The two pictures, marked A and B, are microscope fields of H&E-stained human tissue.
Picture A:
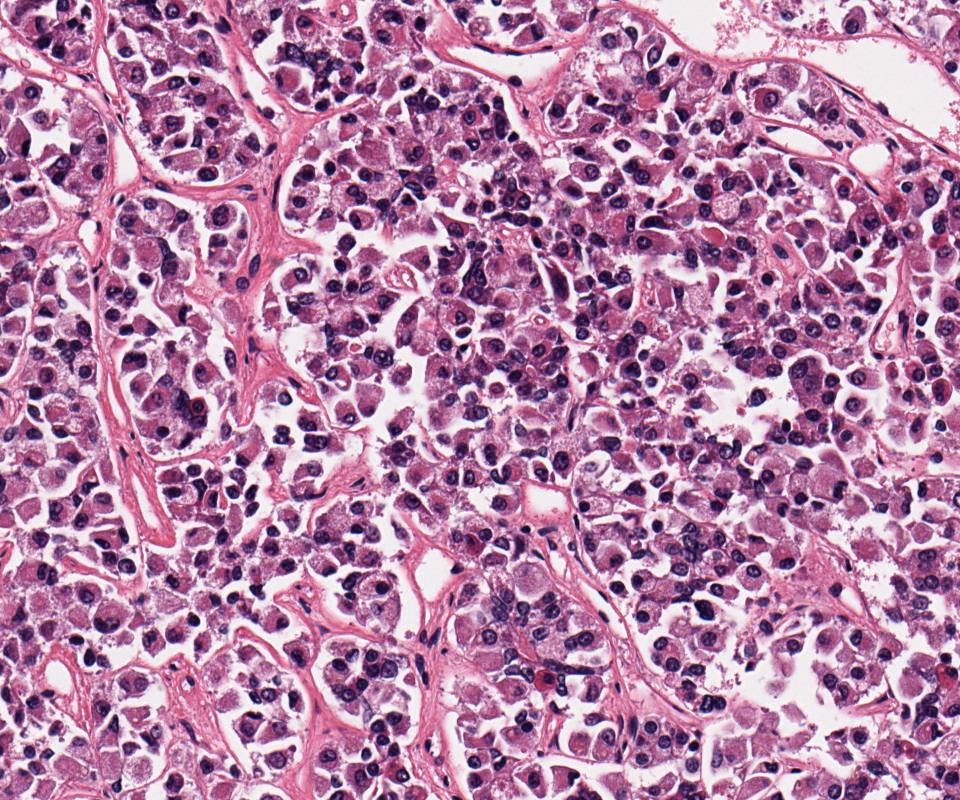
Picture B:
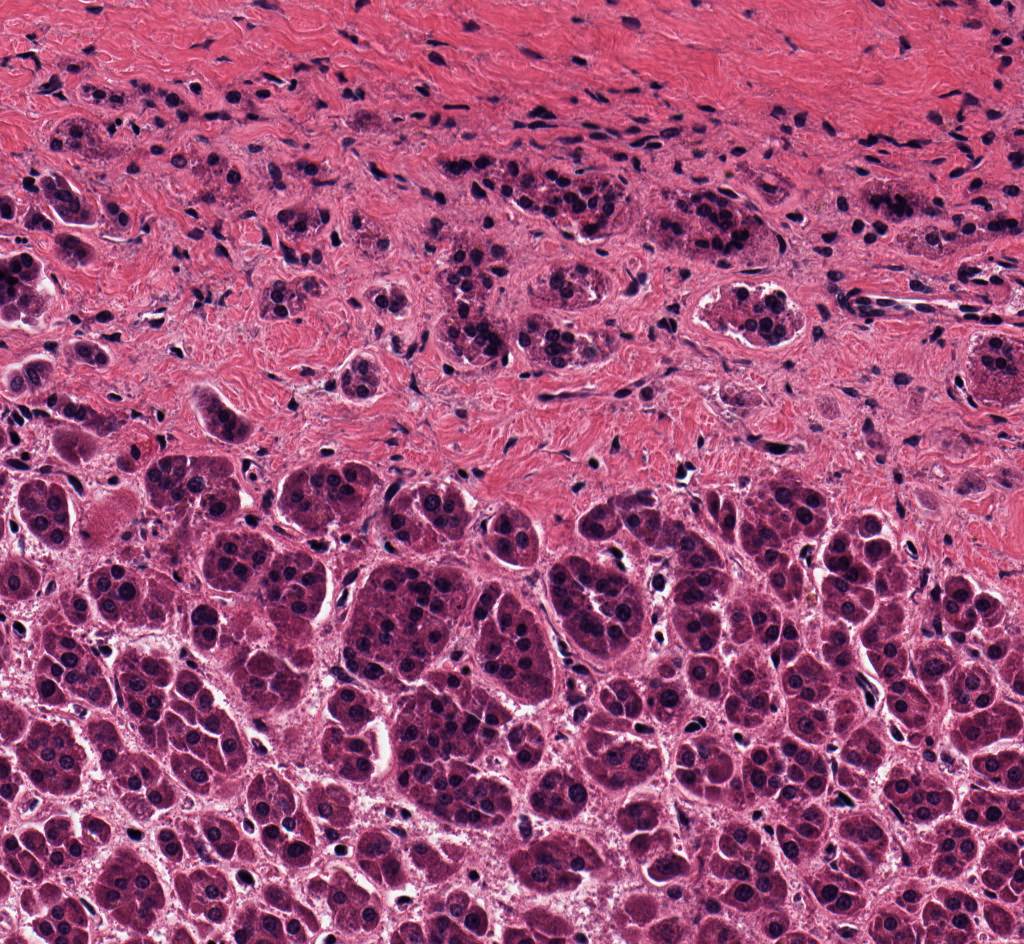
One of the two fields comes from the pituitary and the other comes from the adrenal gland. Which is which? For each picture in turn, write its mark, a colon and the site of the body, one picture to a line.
A: pituitary
B: adrenal gland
